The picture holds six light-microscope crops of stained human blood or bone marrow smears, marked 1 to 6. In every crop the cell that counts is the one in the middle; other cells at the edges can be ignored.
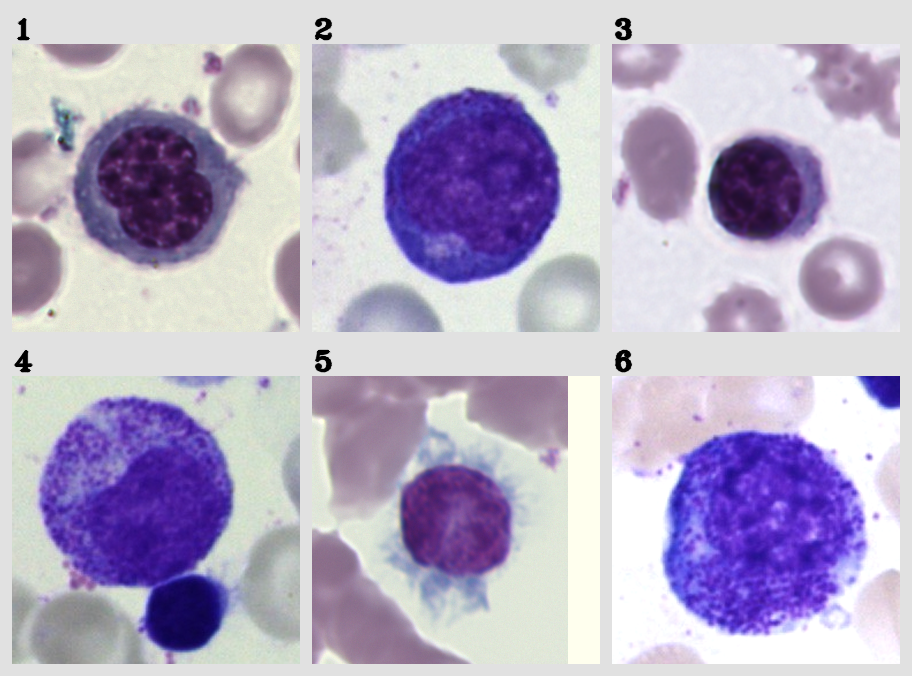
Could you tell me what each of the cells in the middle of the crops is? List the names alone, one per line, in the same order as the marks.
plasma cell
promyelocyte
plasma cell
promyelocyte
hairy cell
promyelocyte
